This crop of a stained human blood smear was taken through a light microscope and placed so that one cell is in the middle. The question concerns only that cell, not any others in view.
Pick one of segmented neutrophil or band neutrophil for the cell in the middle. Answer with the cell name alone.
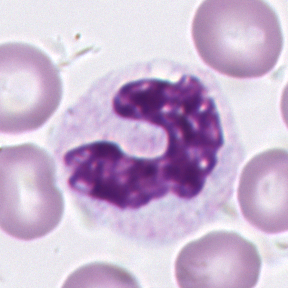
band neutrophil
